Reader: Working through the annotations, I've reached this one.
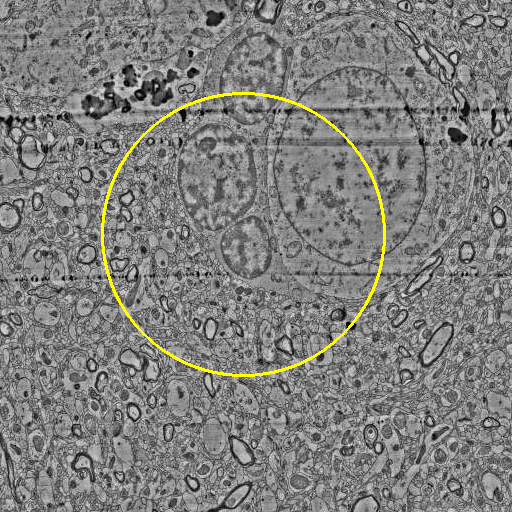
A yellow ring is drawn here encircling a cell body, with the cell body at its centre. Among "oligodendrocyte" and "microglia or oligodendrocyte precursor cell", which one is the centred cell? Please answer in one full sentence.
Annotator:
The cell body at the centre of the yellow ring in this image belongs to an oligodendrocyte.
